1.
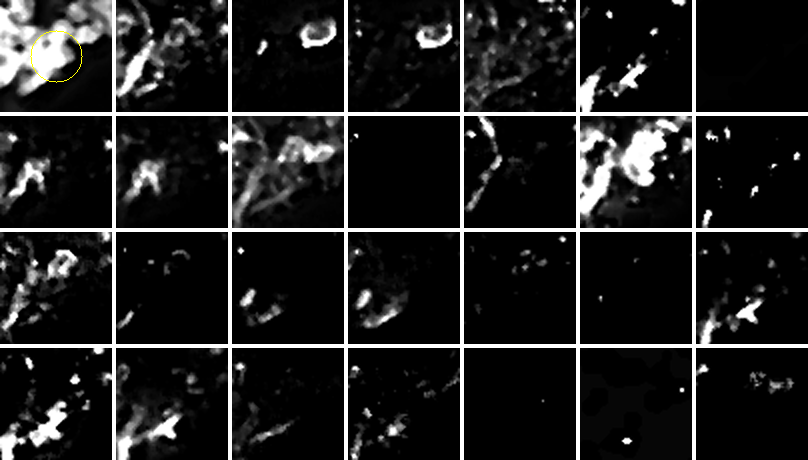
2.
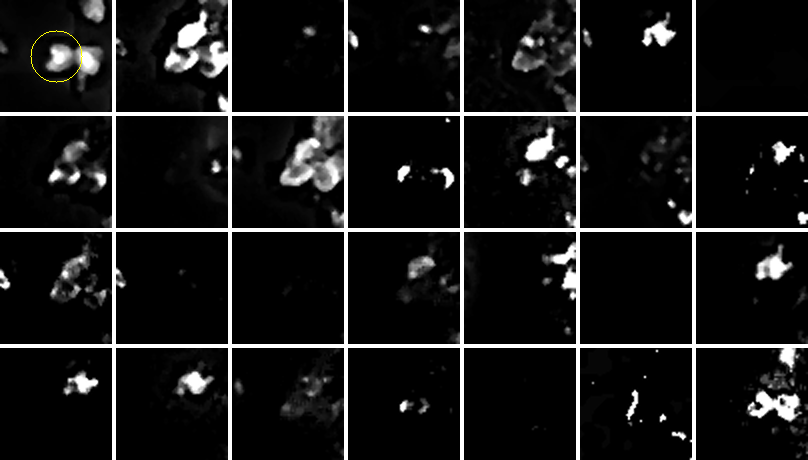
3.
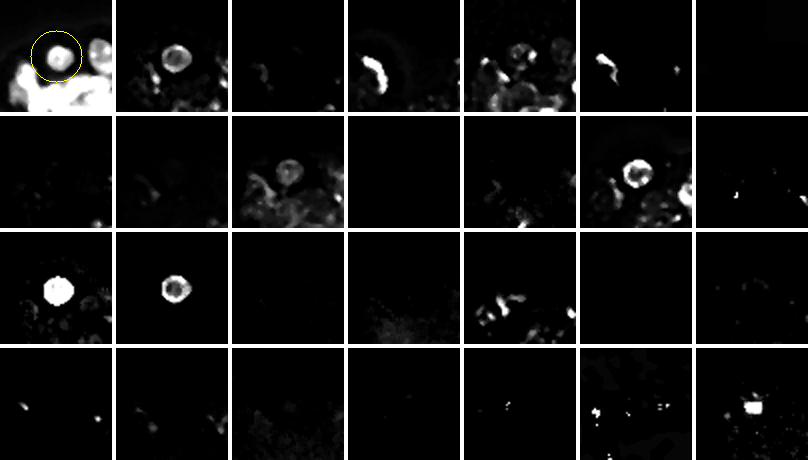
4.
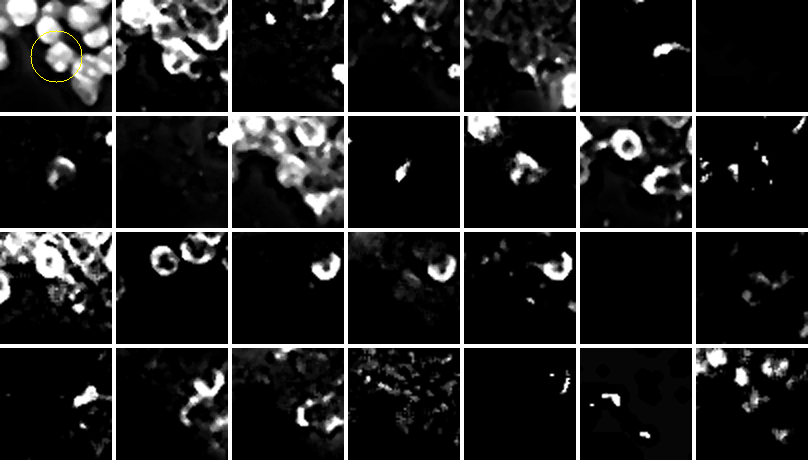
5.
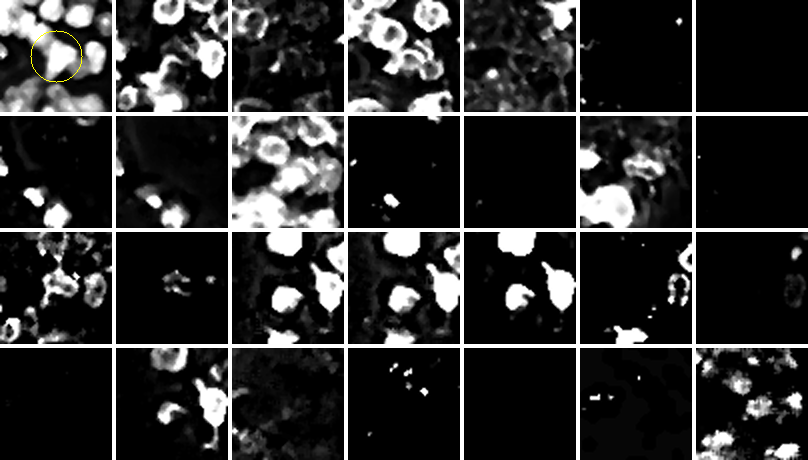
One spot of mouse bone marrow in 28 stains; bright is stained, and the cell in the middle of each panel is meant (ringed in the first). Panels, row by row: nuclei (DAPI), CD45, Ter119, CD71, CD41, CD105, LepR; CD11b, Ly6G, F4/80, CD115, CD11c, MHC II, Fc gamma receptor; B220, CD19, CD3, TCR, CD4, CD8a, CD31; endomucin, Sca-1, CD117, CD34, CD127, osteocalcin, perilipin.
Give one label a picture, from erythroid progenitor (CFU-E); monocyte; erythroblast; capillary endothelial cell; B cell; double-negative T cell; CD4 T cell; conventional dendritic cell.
1. capillary endothelial cell
2. monocyte
3. B cell
4. monocyte
5. CD4 T cell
